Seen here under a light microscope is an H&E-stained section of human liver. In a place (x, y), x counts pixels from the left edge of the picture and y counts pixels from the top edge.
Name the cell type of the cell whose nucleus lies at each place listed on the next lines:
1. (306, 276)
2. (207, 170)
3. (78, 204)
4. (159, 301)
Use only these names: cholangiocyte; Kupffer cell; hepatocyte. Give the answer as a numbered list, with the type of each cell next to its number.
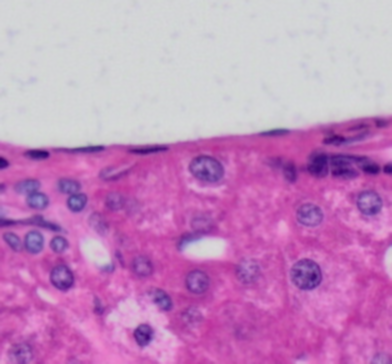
1. hepatocyte
2. hepatocyte
3. cholangiocyte
4. cholangiocyte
